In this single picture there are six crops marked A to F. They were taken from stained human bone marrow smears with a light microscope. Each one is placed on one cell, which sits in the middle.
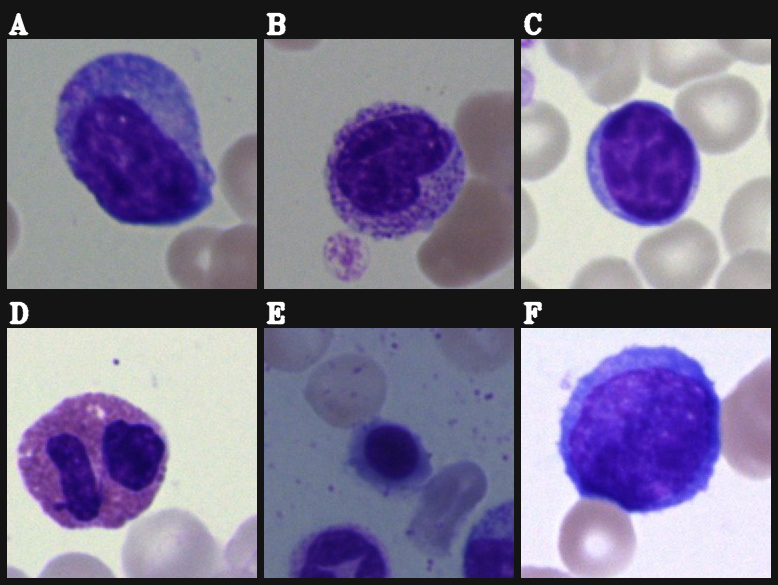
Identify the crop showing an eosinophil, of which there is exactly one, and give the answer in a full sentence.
The one crop that shows an eosinophil is crop D.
